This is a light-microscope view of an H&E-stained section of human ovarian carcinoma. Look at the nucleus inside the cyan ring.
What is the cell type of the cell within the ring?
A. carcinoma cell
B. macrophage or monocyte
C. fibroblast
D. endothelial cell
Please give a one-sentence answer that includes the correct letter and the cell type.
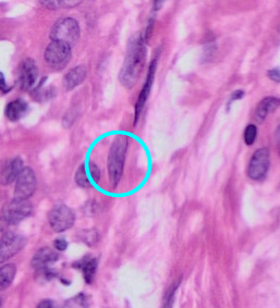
Option D, which has the cell within the ring as an endothelial cell, is the correct choice.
